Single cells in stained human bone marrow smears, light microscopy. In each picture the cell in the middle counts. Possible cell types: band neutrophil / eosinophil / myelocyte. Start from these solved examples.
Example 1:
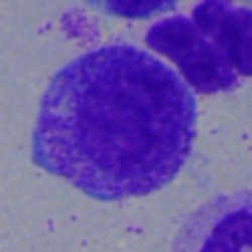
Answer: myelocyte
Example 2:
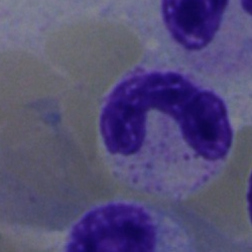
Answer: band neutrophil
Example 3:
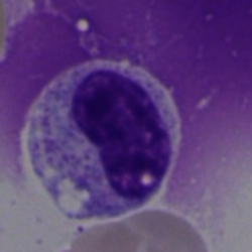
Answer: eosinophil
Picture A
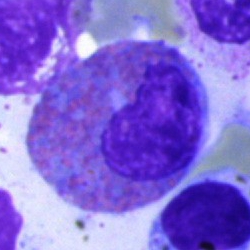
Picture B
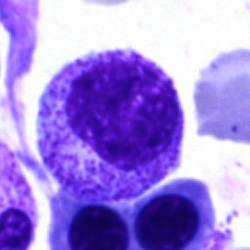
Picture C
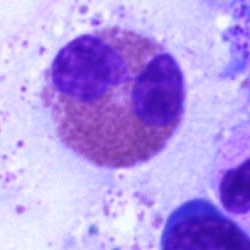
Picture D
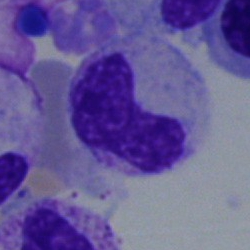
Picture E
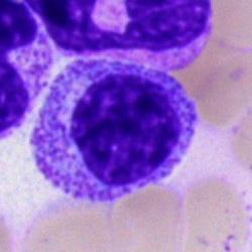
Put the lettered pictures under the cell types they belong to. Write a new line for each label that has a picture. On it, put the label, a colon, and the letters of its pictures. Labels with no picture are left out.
band neutrophil: D
eosinophil: A, C
myelocyte: B, E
